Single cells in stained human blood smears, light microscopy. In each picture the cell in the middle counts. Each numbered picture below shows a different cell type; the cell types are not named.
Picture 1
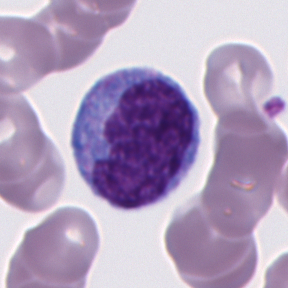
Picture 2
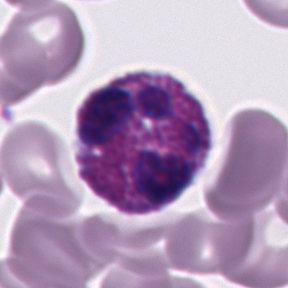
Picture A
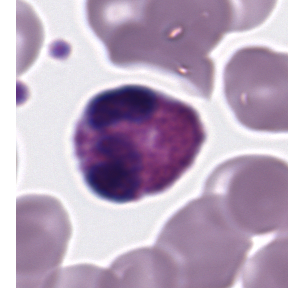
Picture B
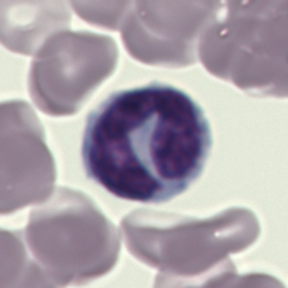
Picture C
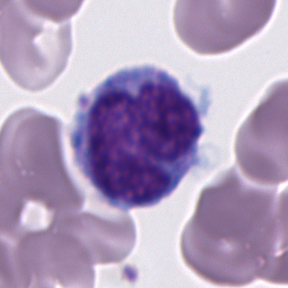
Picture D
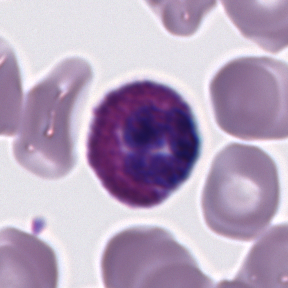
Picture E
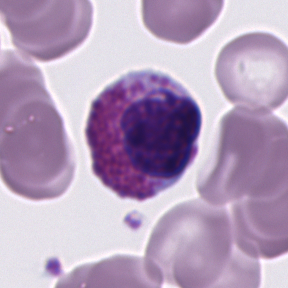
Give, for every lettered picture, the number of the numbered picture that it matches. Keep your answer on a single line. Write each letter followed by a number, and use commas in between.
A 2, B 1, C 1, D 2, E 2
